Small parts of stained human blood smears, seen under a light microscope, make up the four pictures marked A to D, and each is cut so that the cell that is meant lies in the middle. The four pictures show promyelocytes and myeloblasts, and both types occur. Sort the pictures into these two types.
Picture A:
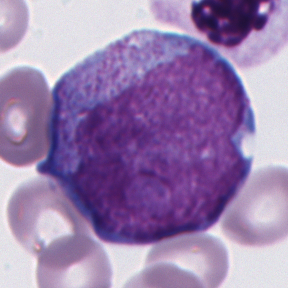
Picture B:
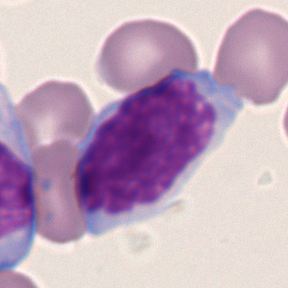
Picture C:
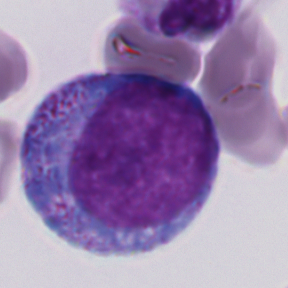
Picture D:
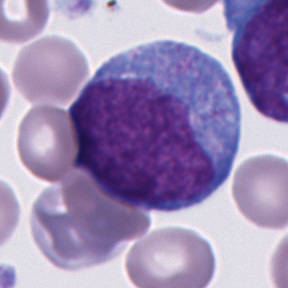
A: promyelocyte
B: myeloblast
C: promyelocyte
D: promyelocyte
